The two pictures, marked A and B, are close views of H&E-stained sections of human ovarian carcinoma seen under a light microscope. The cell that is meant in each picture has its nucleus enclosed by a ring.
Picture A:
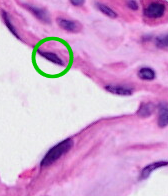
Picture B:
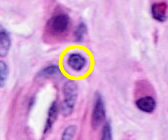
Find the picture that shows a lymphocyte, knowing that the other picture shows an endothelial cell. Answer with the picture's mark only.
B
